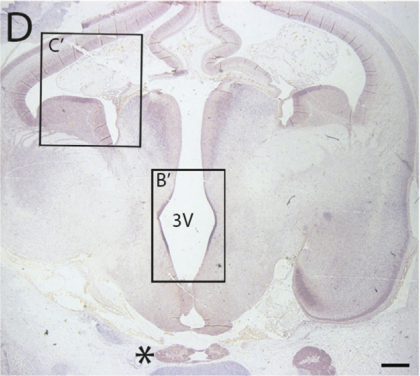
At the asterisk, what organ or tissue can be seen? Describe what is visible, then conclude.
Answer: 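The asterisk lies below the brain at the ventral midline. It marks a small separate tissue beneath the base of the brain, under the midline ventricle. So: pituitary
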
